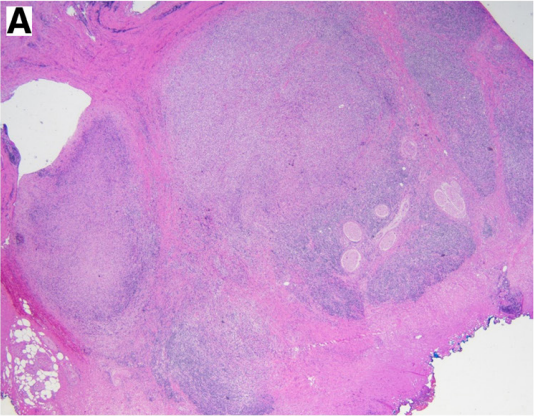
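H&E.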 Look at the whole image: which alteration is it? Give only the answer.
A: Nodular growth pattern.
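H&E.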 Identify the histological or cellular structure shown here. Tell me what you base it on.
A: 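Dense fibrous bands. Pink, acellular collagenous bands run between purple cellular areas. The purple cellular areas form rounded nodules.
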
